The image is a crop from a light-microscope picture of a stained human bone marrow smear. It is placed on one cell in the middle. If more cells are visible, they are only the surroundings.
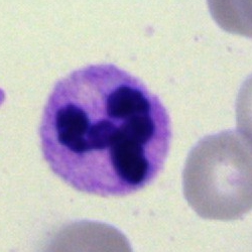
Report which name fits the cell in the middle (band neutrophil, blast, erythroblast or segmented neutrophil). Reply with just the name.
segmented neutrophil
